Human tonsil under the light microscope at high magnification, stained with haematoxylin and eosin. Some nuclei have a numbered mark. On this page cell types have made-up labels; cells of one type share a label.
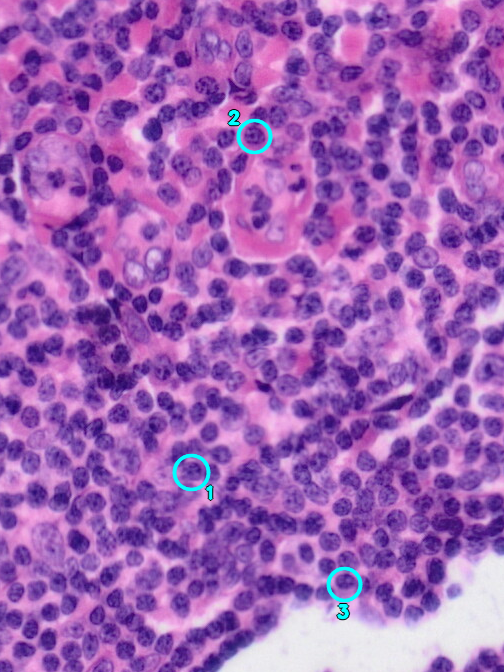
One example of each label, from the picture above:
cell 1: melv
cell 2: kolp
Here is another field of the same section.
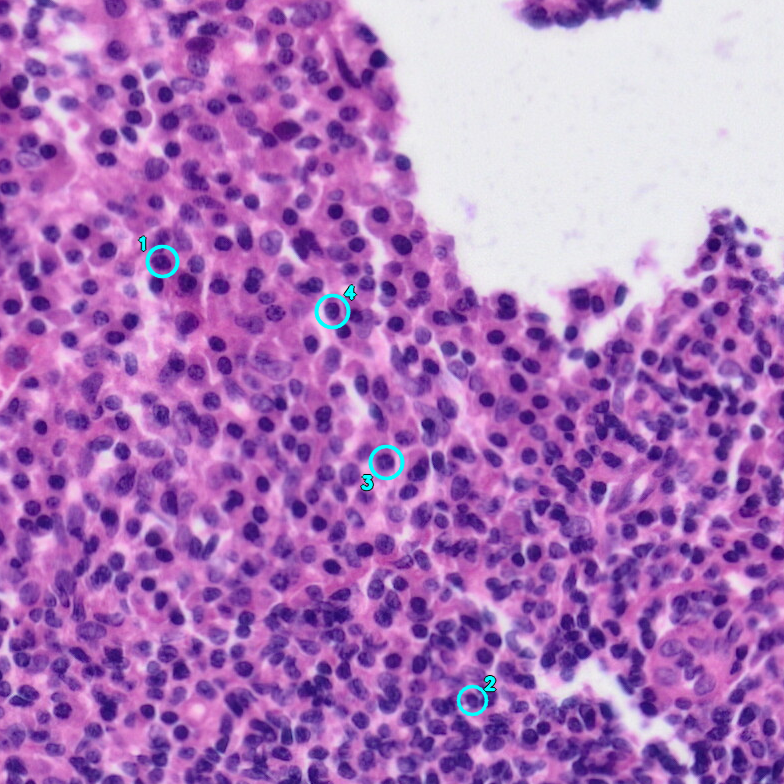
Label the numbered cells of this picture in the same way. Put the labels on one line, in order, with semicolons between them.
kolp; melv; kolp; kolp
